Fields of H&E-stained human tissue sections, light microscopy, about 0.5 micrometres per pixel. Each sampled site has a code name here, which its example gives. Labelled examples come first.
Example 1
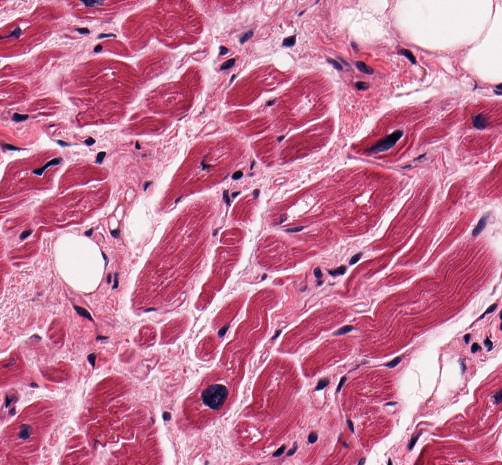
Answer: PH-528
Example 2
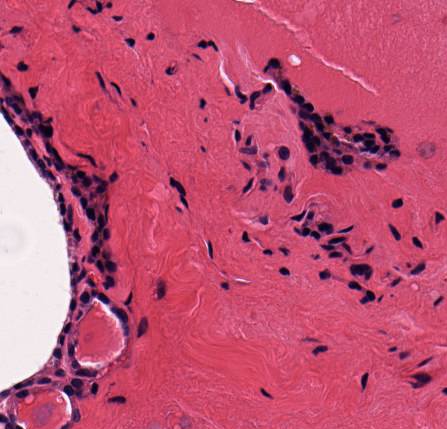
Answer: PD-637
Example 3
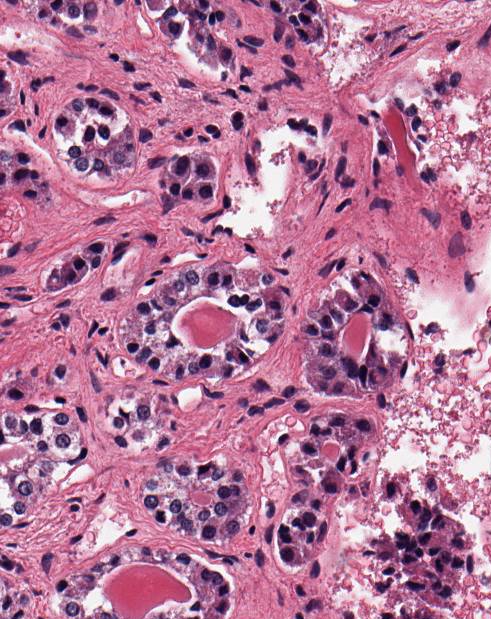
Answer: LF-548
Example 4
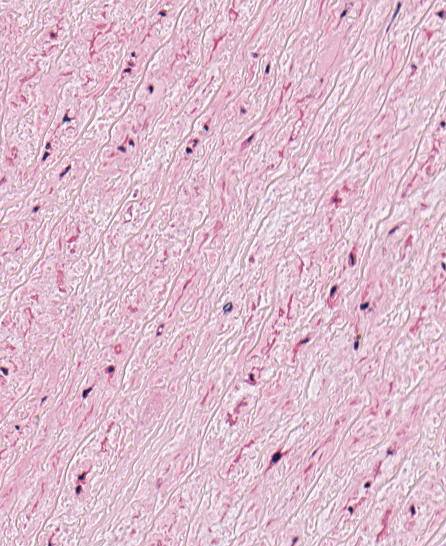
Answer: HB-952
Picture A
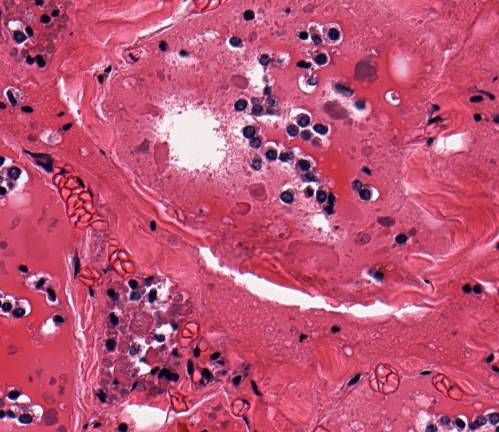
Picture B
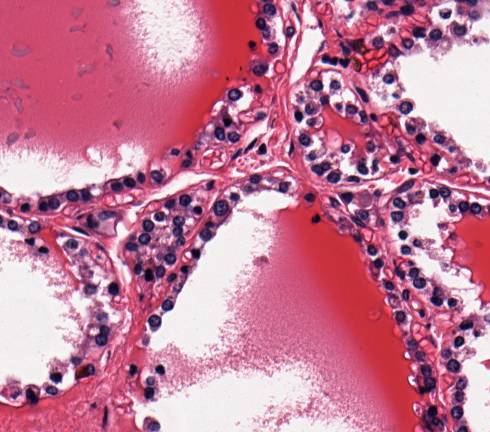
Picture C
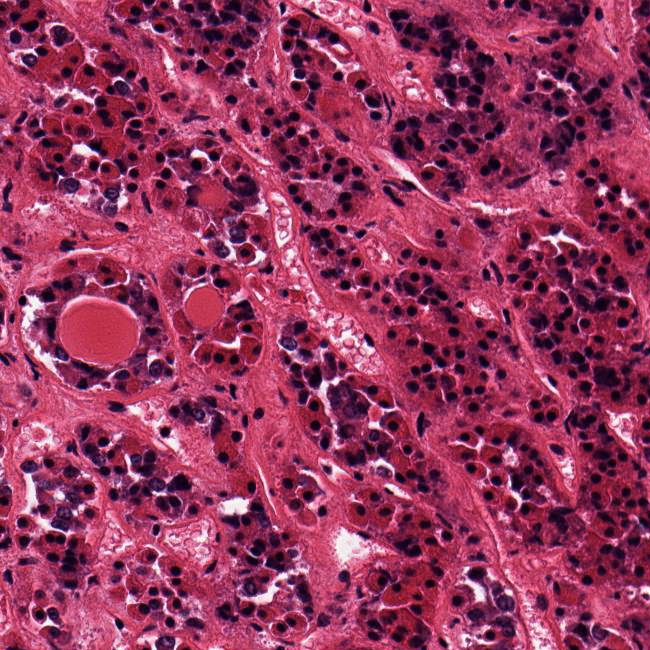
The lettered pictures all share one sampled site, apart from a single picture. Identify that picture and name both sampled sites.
C (LF-548) is the exception; every other picture is PD-637.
